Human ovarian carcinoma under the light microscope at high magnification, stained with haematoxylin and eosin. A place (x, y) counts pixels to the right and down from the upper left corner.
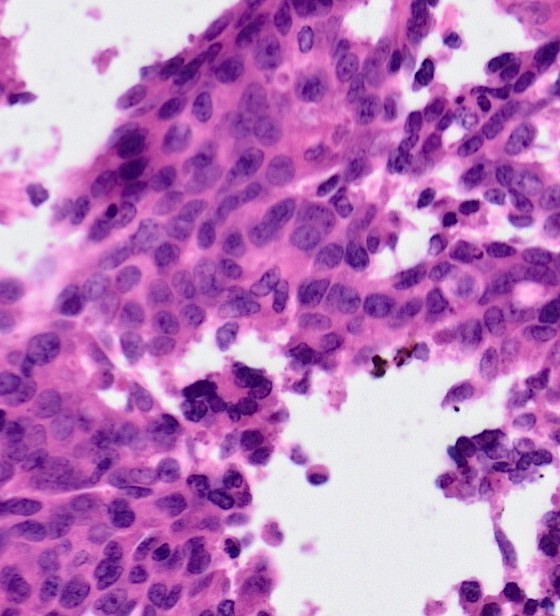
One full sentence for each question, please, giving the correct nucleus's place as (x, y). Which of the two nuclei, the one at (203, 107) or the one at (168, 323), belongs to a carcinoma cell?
Heads up, the nucleus at (168, 323) is the one that belongs to a carcinoma cell.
